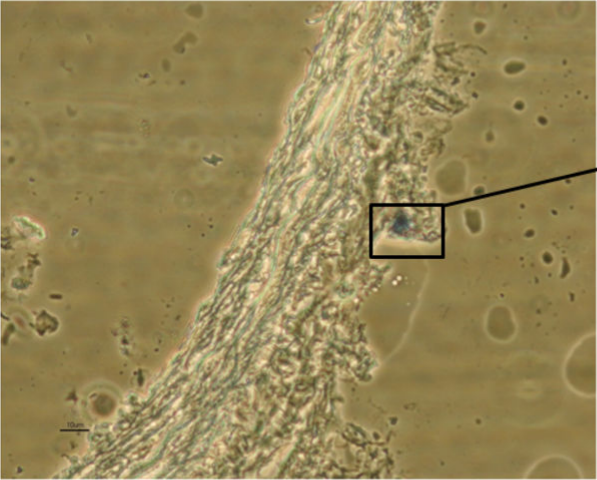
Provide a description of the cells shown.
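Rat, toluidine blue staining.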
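A strip of tissue made of elongated, wavy fibres runs diagonally across the field, with a mast cell lying at its right-hand edge. The fibres are closely packed and loosely aligned along the length of the strip, and its borders are ragged with frayed fibres. No other blue-stained cells are visible in the strip. Clear background with scattered small round bodies and debris surrounds the tissue.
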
